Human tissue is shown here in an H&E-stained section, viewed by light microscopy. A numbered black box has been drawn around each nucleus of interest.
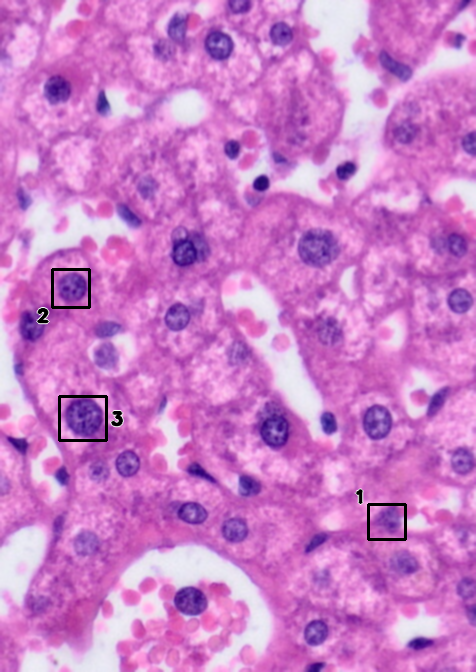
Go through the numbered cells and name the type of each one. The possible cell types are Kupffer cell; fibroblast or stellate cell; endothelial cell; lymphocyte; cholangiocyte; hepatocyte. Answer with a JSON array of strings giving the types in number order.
["endothelial cell", "hepatocyte", "hepatocyte"]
